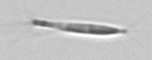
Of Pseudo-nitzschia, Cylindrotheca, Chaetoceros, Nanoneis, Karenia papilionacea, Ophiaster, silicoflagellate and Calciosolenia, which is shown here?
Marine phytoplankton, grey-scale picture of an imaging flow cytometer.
Calciosolenia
